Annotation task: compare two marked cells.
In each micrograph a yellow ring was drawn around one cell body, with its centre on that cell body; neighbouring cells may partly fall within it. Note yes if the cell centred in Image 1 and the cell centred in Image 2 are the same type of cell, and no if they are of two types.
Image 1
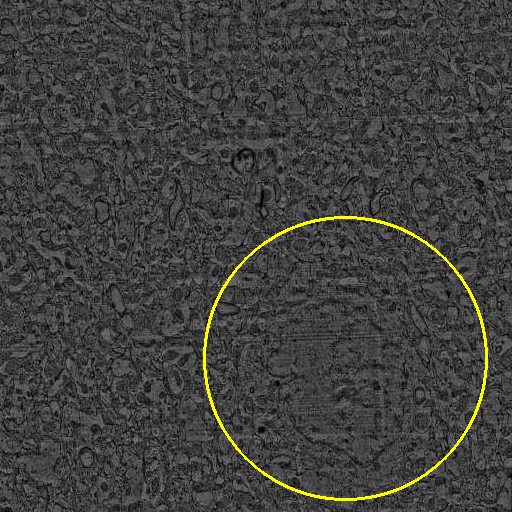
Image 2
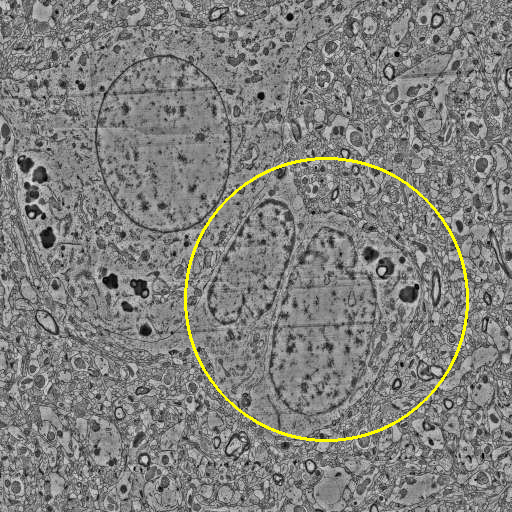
yes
